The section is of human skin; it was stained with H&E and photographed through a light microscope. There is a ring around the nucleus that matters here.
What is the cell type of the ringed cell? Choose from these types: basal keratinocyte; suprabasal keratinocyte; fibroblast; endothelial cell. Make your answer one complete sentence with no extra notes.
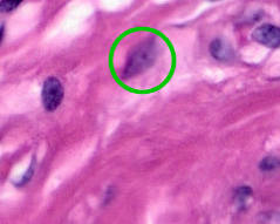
In this tissue section, the ringed cell is to be classed as a fibroblast.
